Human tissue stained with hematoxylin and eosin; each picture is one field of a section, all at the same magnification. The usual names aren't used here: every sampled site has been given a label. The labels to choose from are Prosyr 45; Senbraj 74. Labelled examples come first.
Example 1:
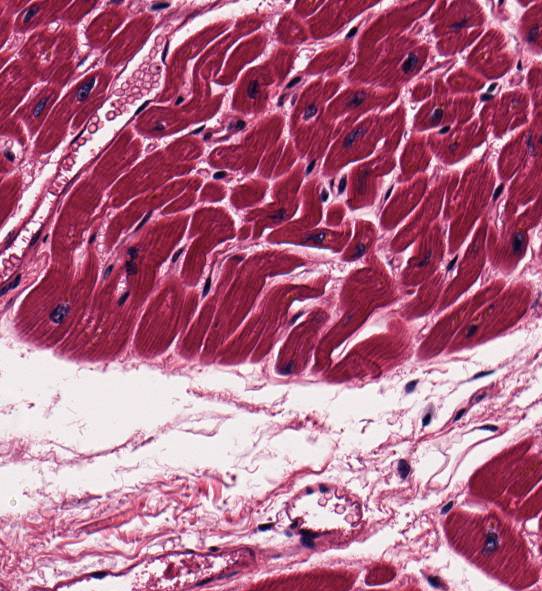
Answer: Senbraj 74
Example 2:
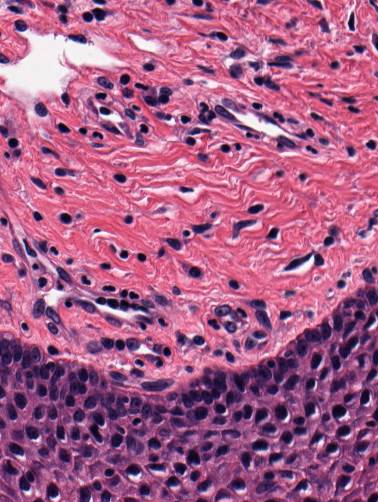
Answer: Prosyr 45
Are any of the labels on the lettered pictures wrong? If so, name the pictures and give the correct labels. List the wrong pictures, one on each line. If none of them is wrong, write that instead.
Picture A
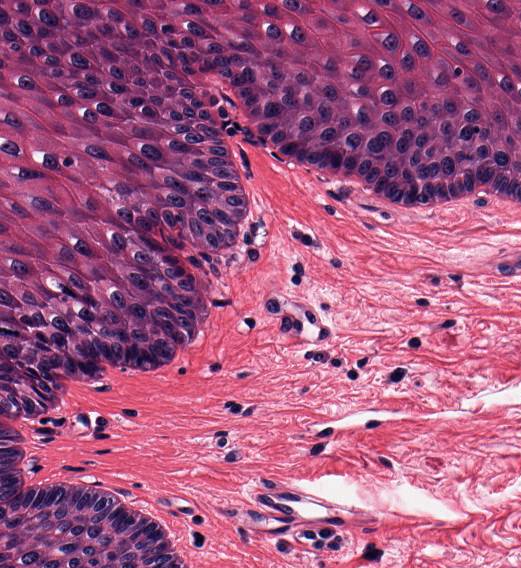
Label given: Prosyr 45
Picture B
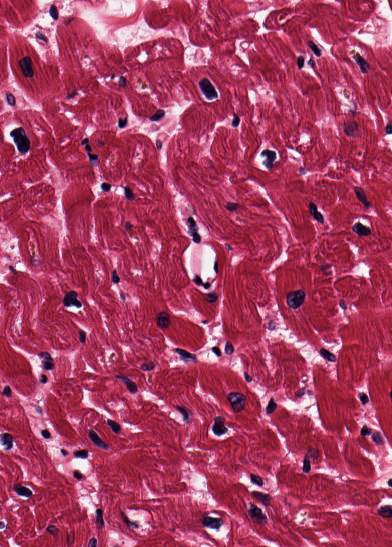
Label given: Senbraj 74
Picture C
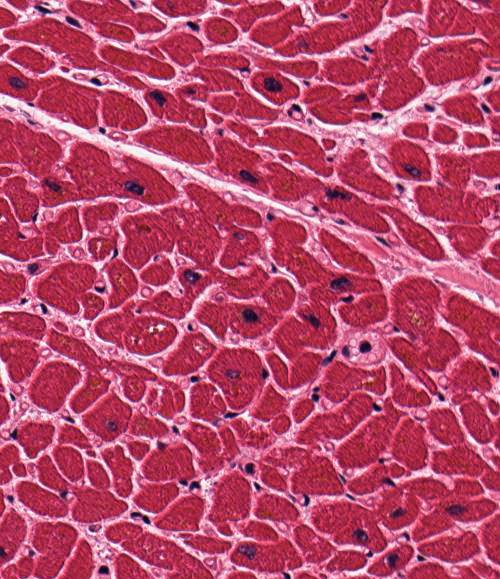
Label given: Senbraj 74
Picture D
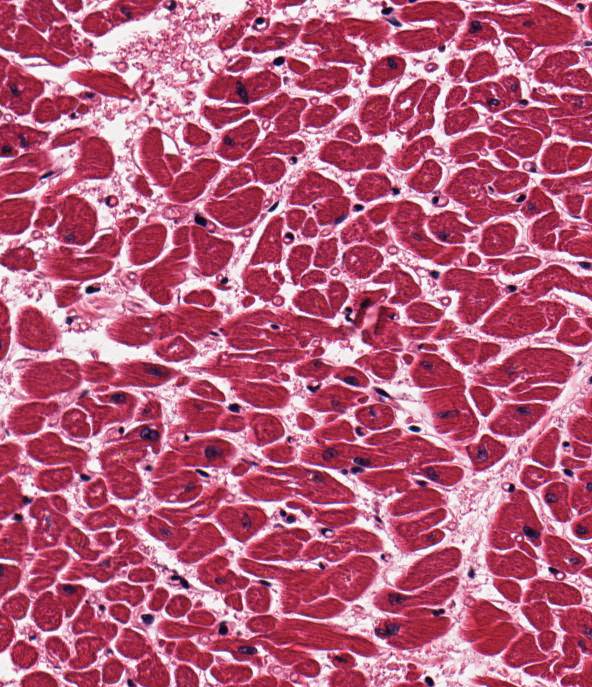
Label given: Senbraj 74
None of the labels needs changing.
